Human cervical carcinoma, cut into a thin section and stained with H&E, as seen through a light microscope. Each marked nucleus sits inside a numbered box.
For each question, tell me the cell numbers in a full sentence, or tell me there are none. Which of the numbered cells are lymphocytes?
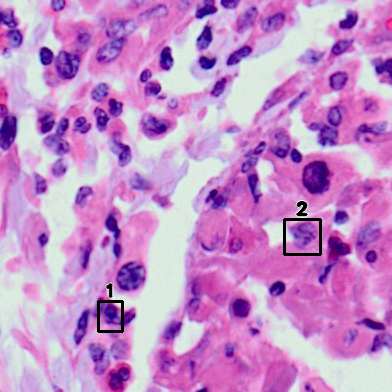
The nucleus numbered 1 is the only one that belongs to a lymphocyte.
